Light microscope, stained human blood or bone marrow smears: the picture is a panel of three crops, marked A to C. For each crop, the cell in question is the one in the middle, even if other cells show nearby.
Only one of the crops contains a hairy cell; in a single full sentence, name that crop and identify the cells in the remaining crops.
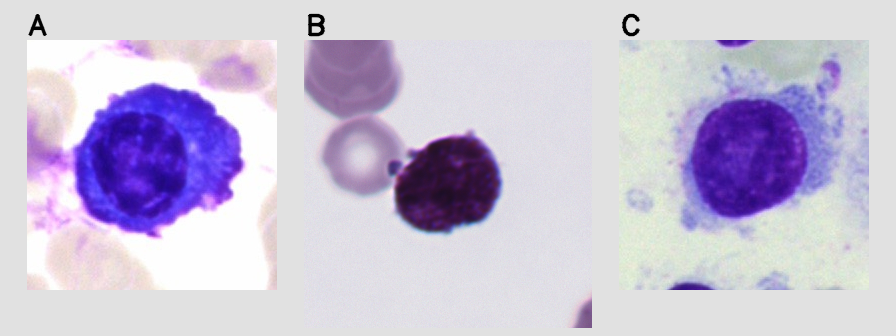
The labels are: crop C is a hairy cell, and crop A is a plasma cell and crop B is a blast.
